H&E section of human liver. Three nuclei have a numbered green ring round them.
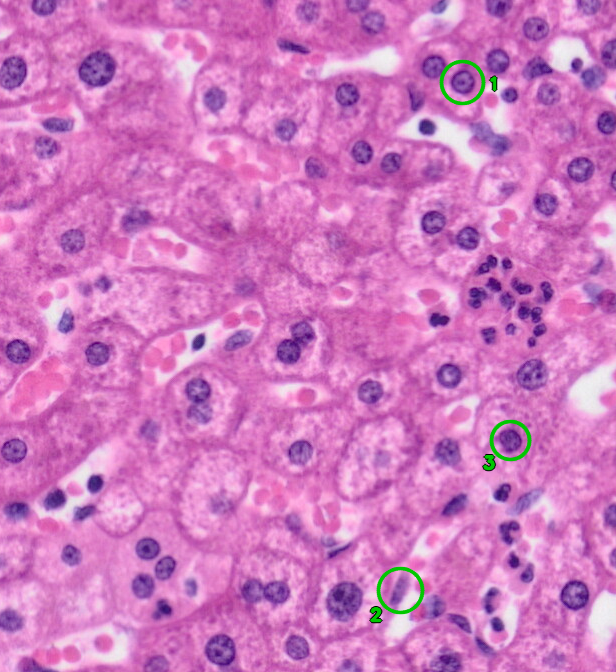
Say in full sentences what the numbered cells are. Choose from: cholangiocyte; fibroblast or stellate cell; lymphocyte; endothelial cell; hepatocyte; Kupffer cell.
Cells 1 and 3 are hepatocytes. Cell 2 is a Kupffer cell.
